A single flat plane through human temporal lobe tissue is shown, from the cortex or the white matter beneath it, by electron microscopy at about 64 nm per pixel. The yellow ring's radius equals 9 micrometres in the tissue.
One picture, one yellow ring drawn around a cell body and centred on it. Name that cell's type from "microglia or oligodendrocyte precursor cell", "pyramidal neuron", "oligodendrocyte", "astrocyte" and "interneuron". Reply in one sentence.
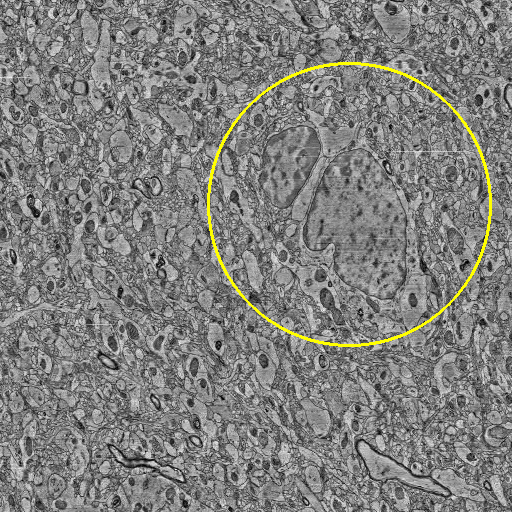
Centred in the ring is a microglial cell or oligodendrocyte precursor cell.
